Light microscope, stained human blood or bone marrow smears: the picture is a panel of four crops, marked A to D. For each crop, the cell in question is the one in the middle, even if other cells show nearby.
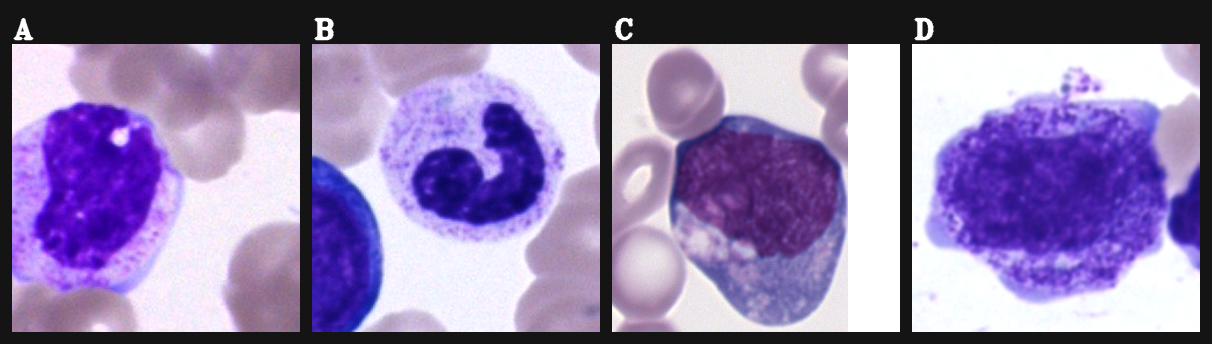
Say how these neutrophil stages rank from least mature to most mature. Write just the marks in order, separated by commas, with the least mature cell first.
C, D, A, B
